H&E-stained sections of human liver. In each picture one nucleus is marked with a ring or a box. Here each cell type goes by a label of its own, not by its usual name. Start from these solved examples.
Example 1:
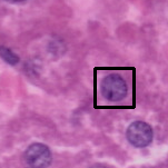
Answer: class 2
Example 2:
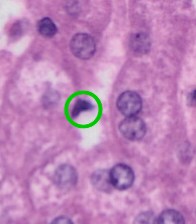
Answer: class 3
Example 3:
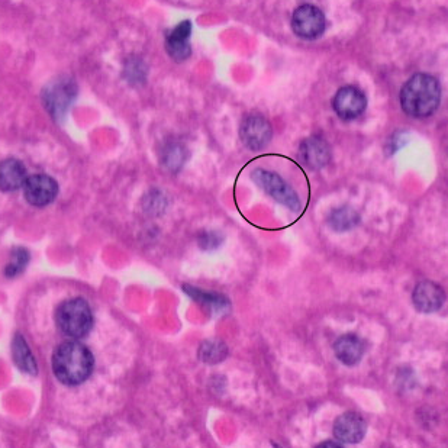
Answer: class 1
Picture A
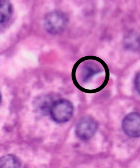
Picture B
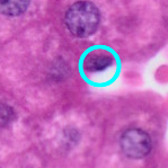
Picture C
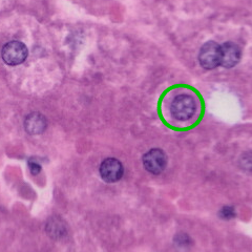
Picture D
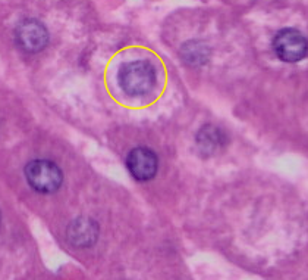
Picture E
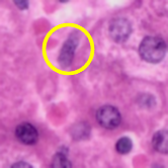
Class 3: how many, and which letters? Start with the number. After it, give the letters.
2: A, B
